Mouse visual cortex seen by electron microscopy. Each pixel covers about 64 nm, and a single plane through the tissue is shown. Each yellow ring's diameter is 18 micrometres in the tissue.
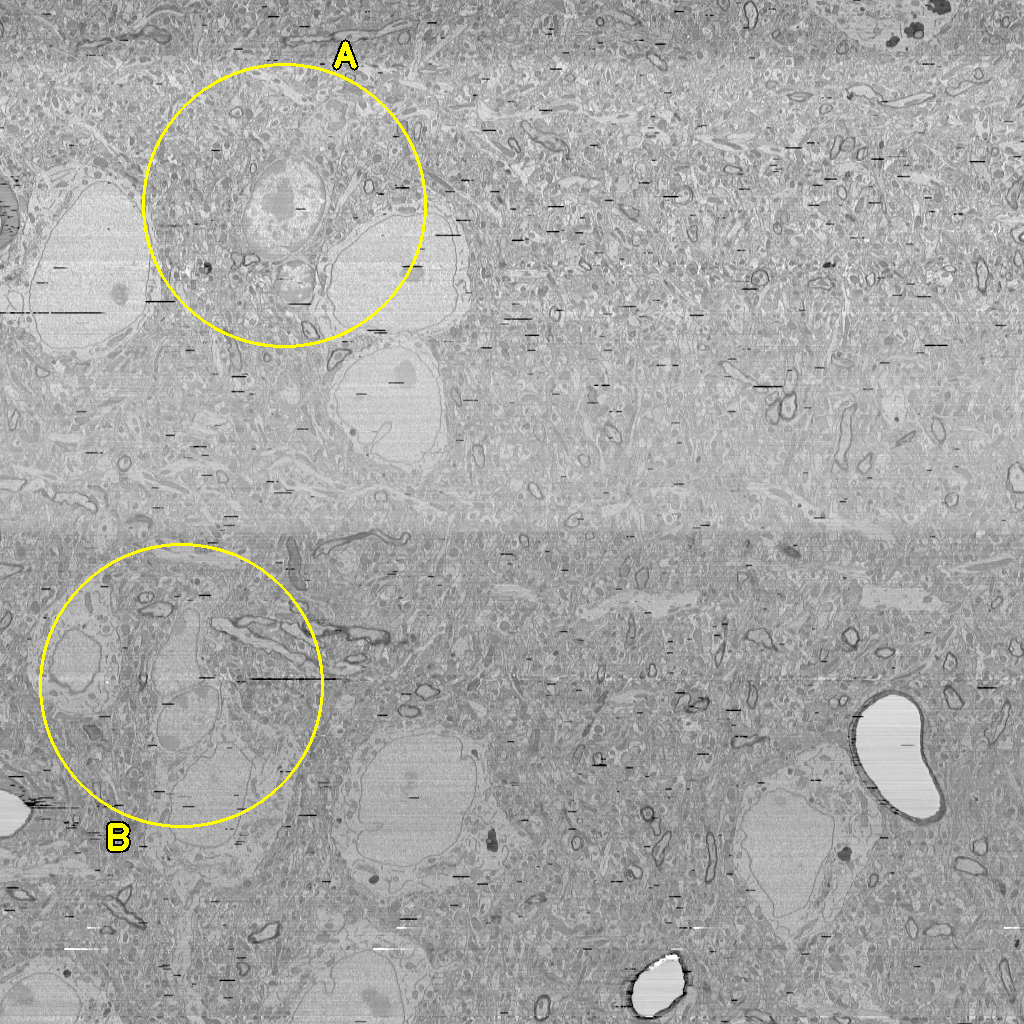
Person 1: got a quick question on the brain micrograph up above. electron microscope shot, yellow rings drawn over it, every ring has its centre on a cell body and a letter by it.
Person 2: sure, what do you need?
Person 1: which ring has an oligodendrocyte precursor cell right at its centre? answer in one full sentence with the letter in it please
In that picture, ring B is centred on the cell asked for.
